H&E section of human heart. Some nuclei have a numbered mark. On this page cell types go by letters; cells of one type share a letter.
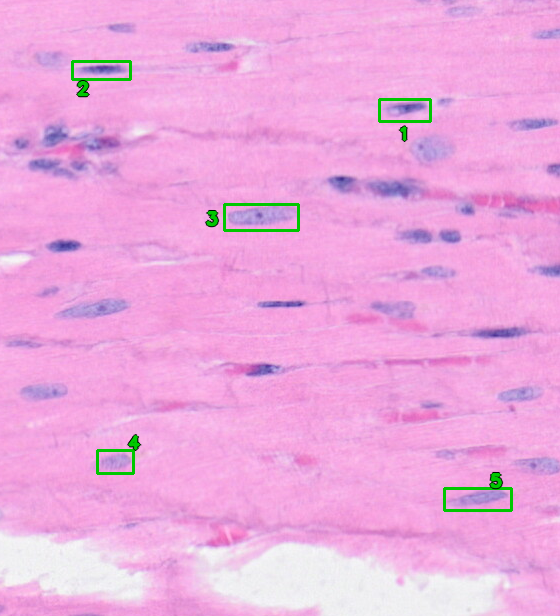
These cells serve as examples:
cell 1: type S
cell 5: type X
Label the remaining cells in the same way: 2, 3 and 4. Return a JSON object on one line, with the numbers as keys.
{"2": "type S", "3": "type X", "4": "type X"}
